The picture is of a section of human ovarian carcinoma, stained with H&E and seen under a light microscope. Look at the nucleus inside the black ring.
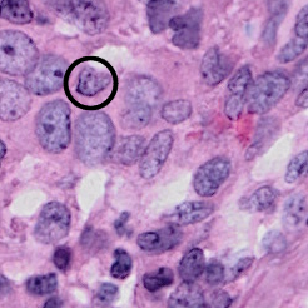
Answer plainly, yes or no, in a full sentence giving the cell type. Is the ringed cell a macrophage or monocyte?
Yes, the description of the ringed cell as a macrophage or monocyte is accurate.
